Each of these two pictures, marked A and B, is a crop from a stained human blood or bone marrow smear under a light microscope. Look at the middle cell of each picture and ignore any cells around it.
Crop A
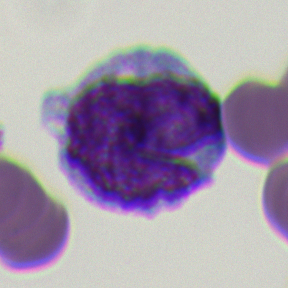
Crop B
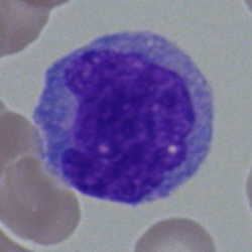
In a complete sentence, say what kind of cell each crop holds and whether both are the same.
Yes, as shown in both crops, the central cells are monocytes.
